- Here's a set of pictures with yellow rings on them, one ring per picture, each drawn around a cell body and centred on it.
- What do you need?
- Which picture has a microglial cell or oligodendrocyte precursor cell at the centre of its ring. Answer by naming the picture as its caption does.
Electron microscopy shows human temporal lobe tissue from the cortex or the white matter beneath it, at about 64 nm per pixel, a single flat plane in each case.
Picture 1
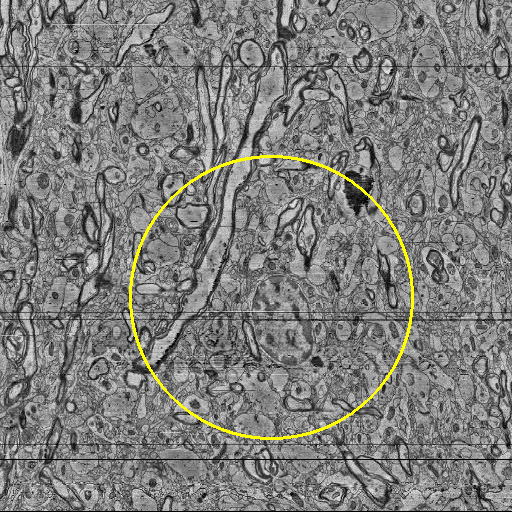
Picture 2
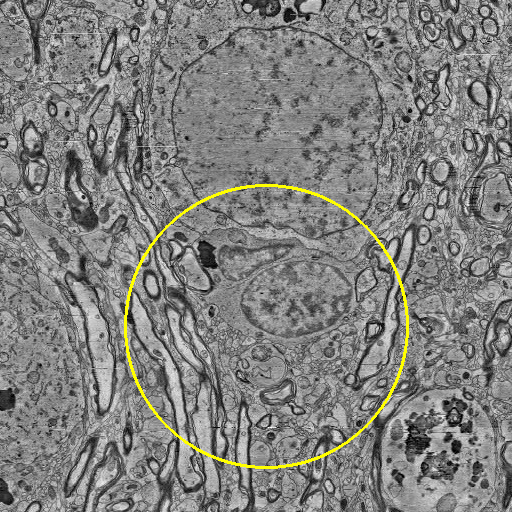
Picture 1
